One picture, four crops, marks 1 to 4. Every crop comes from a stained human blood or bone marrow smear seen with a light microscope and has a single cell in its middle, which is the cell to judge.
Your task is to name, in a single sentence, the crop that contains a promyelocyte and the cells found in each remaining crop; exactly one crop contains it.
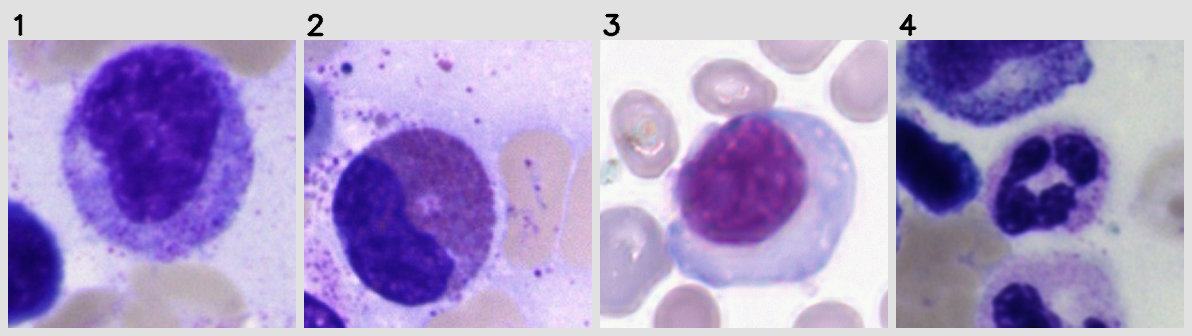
Crop 1 is showing a promyelocyte, while crop 2 is an eosinophil, crop 3 is a plasma cell and crop 4 is a segmented neutrophil.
